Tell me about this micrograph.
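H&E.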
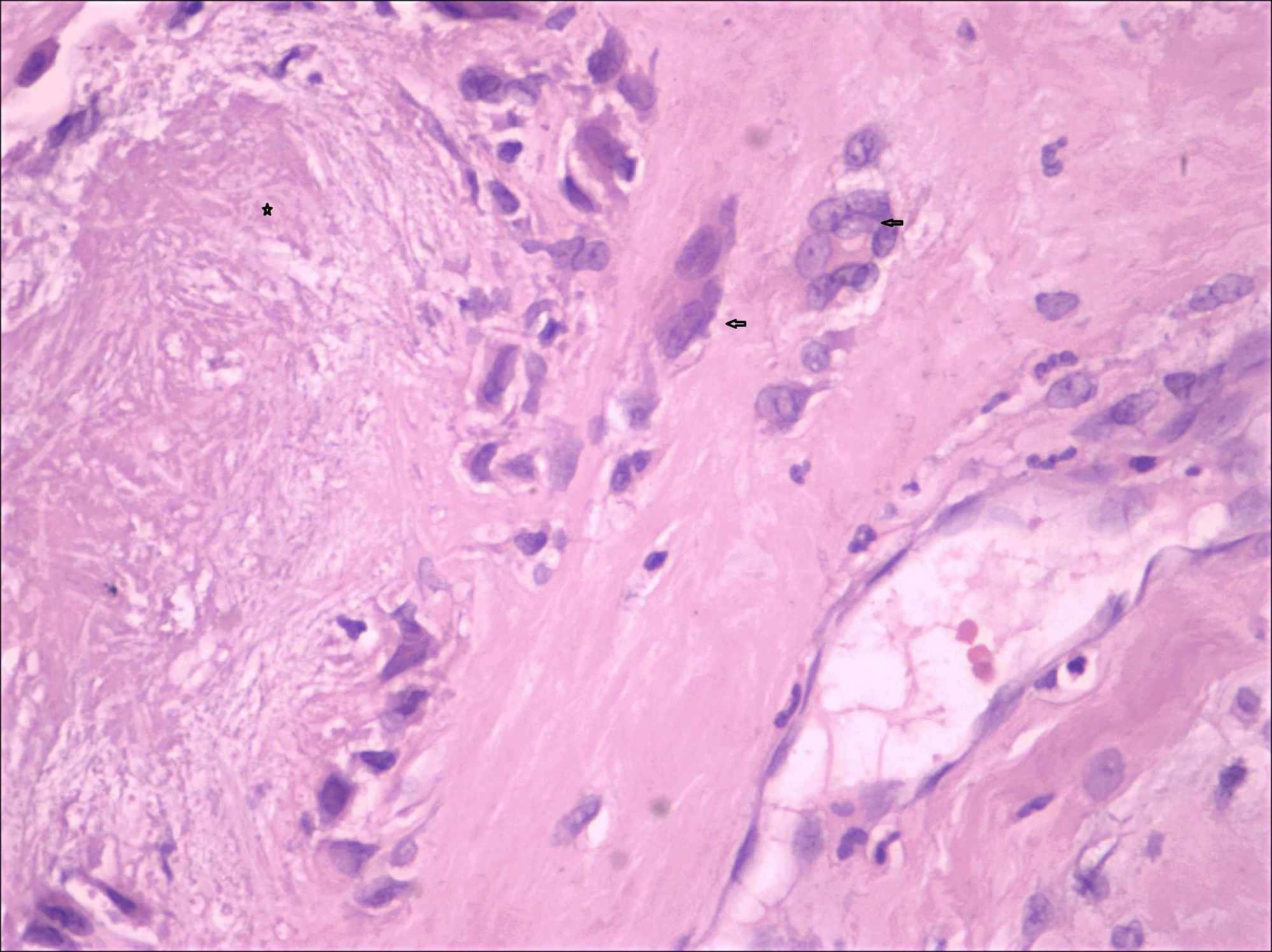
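On the left lies a broad pale pink mass with a feathery, needle-like fibrillary texture and almost no nuclei. Large cells with several oval nuclei sharing one pink cytoplasm cluster along its edge and in the nearby pink fibrous stroma, with scattered smaller round dark nuclei and a thin-walled vessel holding a few red blood cells at lower right. This picture fits crystalline deposits ringed by multinucleated giant cells and chronic inflammatory cells.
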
